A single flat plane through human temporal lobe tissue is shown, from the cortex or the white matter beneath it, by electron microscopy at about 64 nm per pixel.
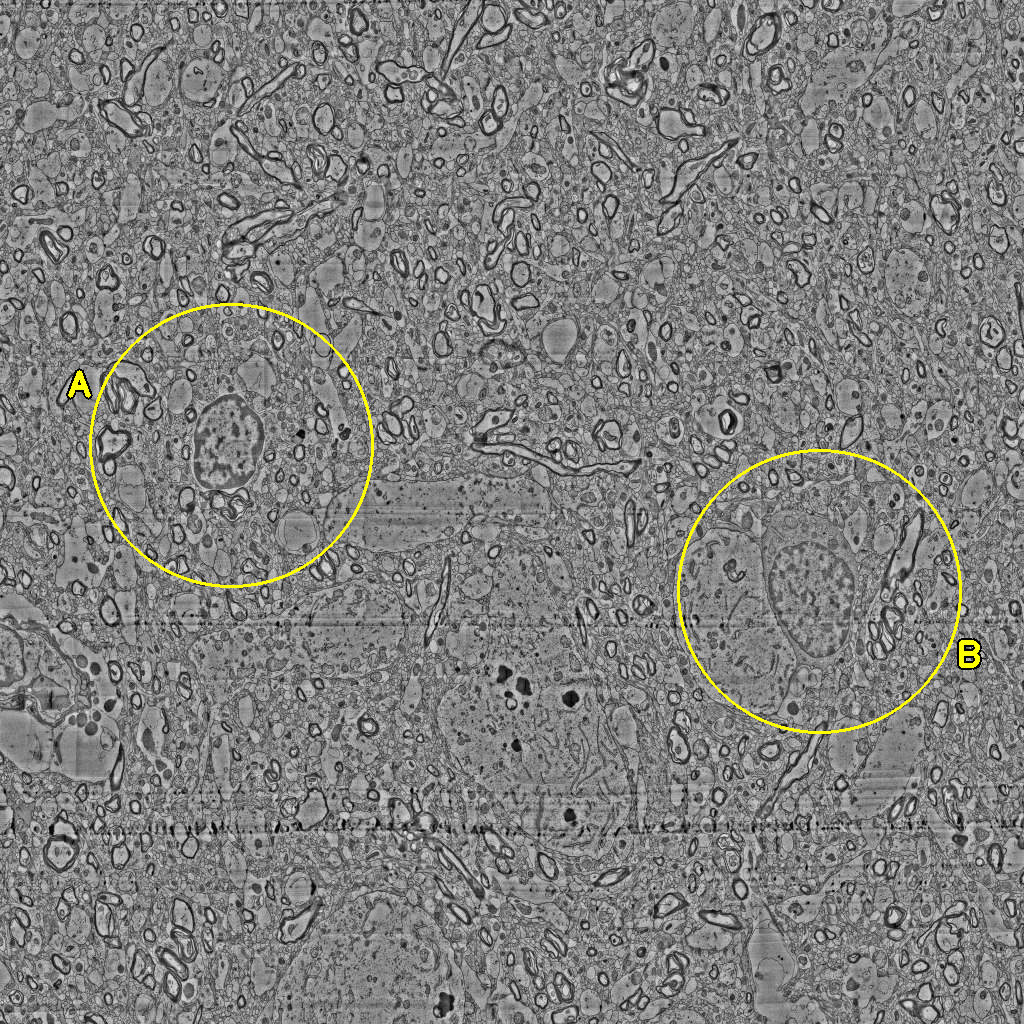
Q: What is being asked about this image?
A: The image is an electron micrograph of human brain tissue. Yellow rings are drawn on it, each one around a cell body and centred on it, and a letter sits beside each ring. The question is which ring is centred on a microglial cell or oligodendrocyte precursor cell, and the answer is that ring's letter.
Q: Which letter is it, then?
A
